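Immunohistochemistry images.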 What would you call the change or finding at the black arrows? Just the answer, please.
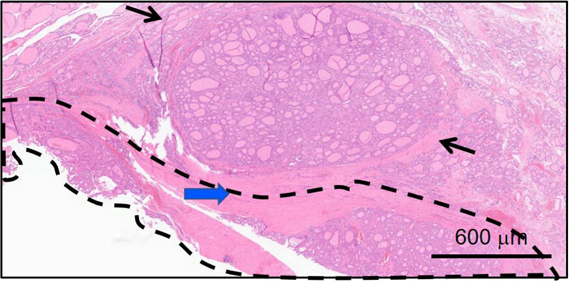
Capsular invasion of cancer cells.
